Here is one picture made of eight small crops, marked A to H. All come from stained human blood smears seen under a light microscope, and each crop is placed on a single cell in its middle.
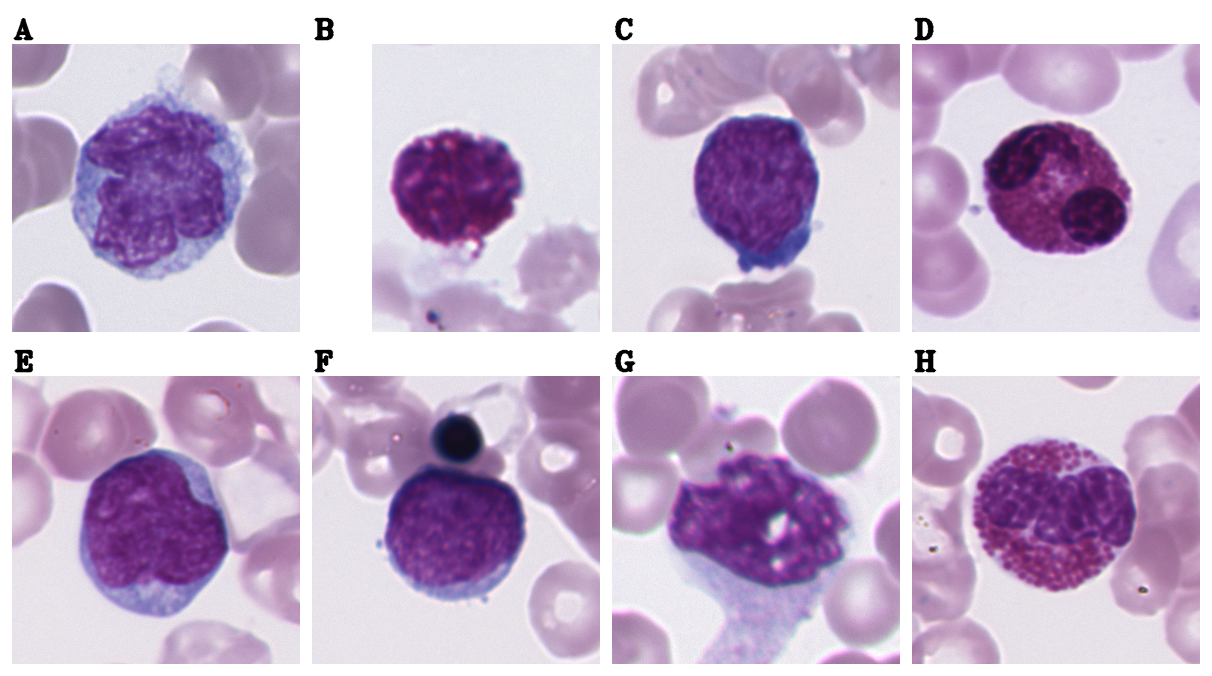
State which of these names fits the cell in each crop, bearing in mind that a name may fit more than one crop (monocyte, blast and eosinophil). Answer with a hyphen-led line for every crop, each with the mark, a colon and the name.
- A: monocyte
- B: eosinophil
- C: blast
- D: eosinophil
- E: blast
- F: blast
- G: monocyte
- H: eosinophil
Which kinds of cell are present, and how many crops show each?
eosinophil: 3
blast: 3
monocyte: 2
